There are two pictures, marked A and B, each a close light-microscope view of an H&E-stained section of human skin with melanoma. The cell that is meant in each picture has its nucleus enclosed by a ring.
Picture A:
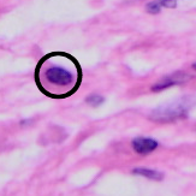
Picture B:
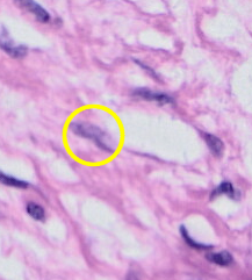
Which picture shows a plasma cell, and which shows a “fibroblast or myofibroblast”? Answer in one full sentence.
Picture A is of a plasma cell, and picture B is of a “fibroblast or myofibroblast”.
